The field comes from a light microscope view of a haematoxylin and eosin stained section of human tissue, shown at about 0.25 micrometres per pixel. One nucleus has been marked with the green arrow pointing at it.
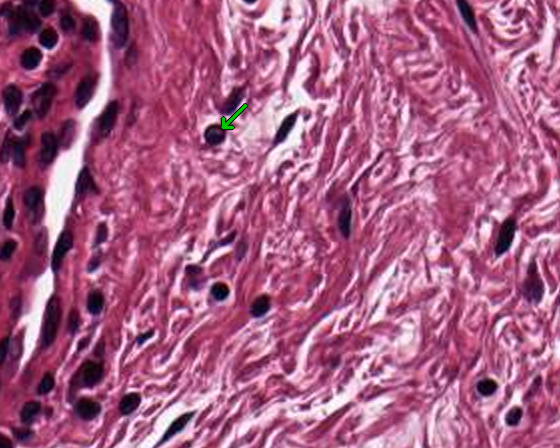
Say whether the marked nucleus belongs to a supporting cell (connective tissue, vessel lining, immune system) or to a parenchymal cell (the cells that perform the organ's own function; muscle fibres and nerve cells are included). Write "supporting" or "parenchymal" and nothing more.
supporting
